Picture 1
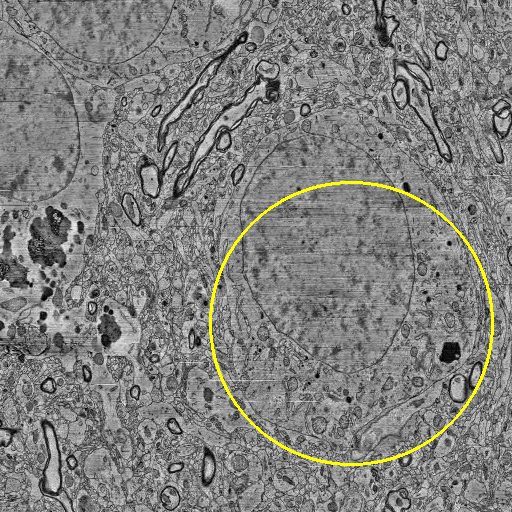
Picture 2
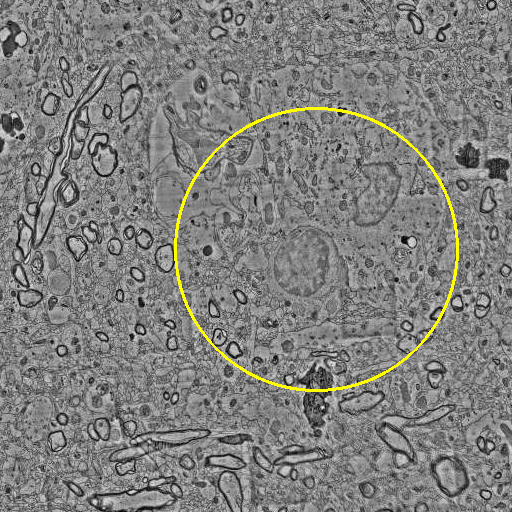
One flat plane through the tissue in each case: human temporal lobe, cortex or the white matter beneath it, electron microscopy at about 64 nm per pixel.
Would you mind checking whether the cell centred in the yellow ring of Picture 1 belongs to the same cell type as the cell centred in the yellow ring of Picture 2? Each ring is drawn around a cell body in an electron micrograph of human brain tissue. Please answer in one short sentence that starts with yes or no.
No, the two cells are of two types.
